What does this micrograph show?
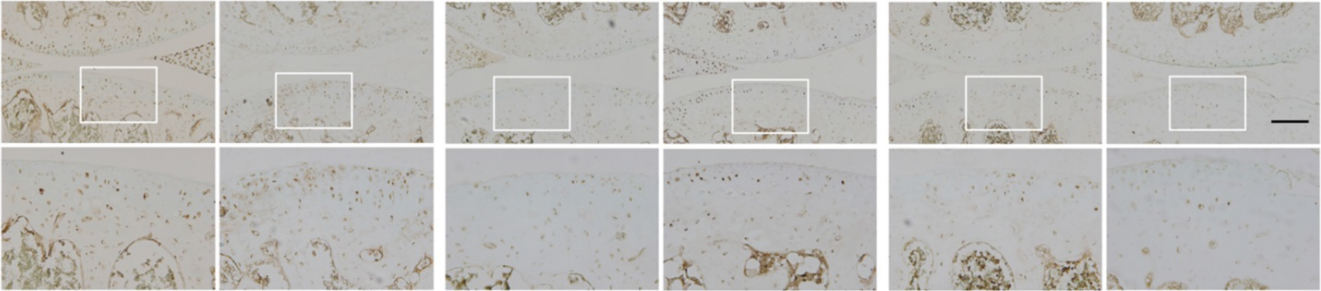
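These are sections across a knee joint showing two layers of articular cartilage facing each other over a thin joint space, each with small chondrocytes sitting in lacunae in a pale matrix. Some chondrocytes carry a brown stain, and underneath the cartilage lies bone with rounded marrow spaces whose linings stain brown. The enlarged strips below each view show the cartilage cells at higher magnification.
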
